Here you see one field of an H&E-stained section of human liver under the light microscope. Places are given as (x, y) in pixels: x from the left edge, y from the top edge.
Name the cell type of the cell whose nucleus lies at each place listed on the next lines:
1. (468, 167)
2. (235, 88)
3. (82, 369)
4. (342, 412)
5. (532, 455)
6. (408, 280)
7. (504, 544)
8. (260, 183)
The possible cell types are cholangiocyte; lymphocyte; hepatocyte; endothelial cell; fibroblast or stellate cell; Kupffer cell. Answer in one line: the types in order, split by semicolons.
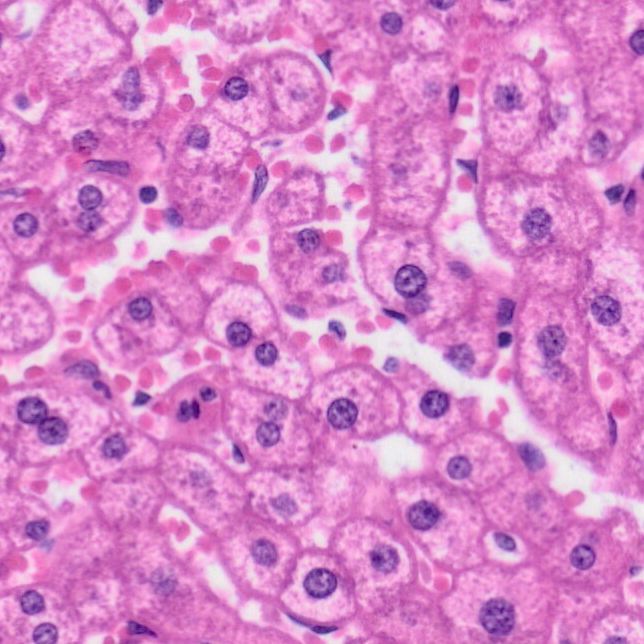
endothelial cell; hepatocyte; Kupffer cell; hepatocyte; endothelial cell; hepatocyte; Kupffer cell; Kupffer cell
